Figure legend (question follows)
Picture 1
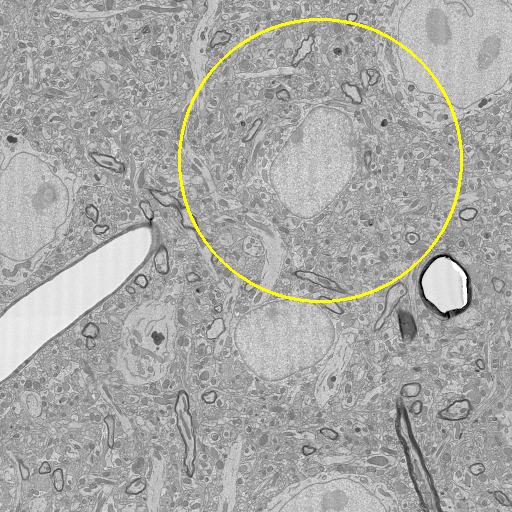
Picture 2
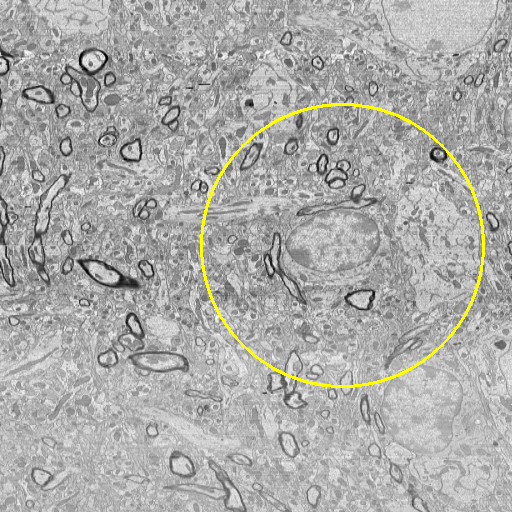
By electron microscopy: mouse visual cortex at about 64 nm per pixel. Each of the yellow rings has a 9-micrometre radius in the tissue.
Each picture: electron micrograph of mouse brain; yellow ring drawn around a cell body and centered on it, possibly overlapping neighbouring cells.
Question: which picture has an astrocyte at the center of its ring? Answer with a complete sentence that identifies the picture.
Picture 1 has it at the center of its ring.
